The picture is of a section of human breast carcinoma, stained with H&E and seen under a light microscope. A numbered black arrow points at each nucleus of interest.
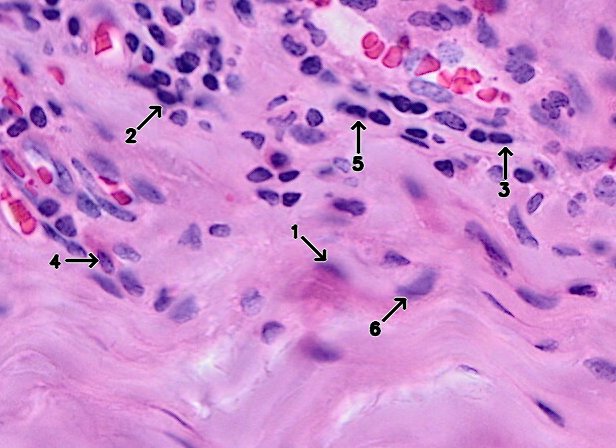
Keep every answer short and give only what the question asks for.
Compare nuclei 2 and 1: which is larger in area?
1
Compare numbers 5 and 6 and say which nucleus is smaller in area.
5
